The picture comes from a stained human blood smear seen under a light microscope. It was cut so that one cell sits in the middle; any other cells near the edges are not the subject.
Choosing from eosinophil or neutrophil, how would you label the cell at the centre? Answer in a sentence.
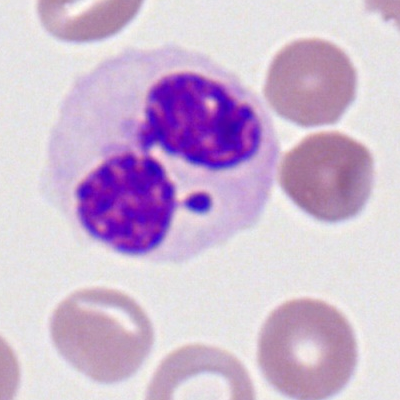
On this slide crop, the central cell is a neutrophil.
